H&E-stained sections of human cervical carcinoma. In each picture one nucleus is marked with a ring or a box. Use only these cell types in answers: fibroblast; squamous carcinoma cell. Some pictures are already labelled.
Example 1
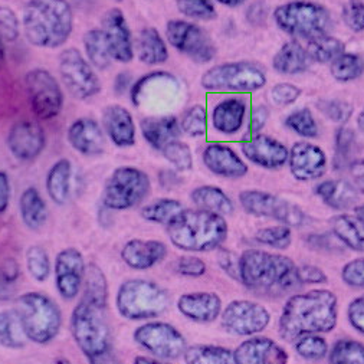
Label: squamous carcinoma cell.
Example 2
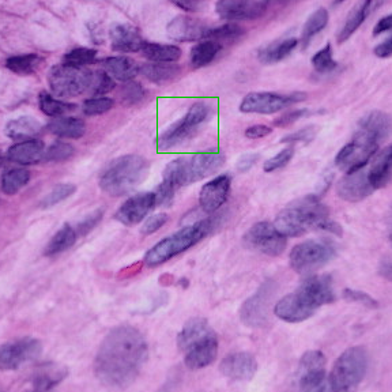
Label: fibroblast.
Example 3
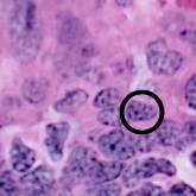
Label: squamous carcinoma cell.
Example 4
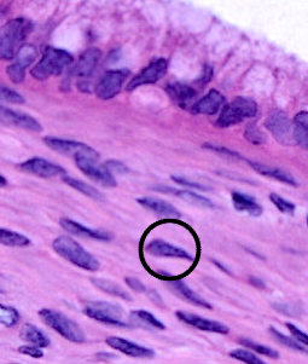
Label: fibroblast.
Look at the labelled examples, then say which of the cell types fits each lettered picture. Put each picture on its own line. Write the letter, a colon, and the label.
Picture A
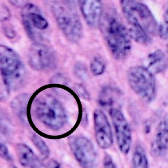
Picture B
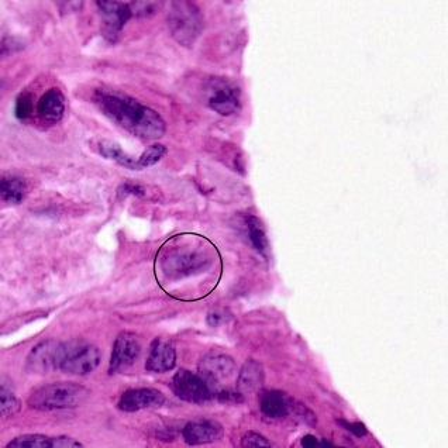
A: squamous carcinoma cell.
B: fibroblast.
